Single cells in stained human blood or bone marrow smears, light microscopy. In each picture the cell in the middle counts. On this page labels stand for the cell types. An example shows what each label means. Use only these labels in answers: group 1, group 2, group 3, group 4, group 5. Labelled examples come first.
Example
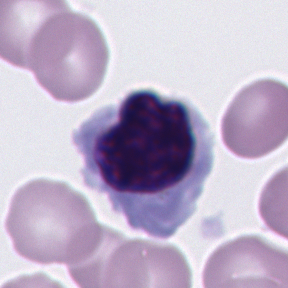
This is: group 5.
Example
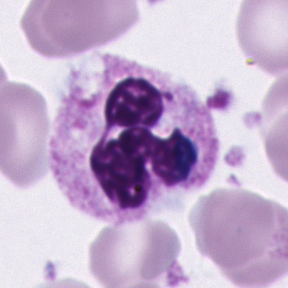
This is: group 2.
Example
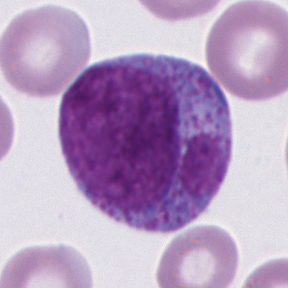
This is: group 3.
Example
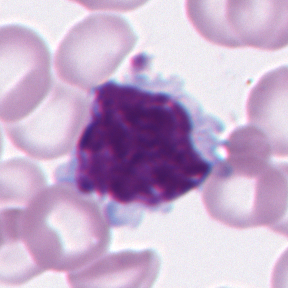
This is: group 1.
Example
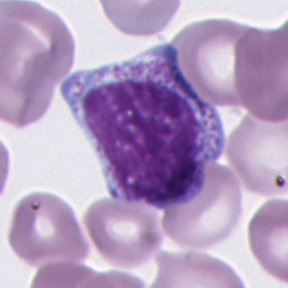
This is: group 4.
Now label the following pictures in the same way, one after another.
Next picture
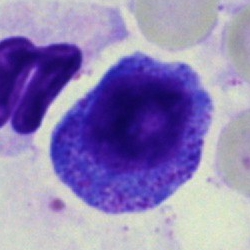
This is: group 3.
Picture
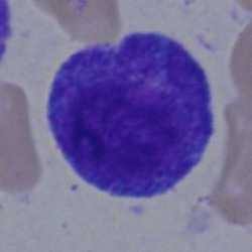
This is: group 3.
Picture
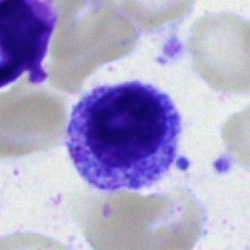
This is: group 4.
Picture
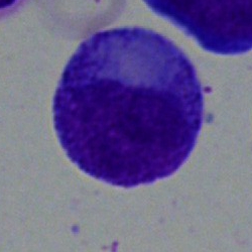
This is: group 3.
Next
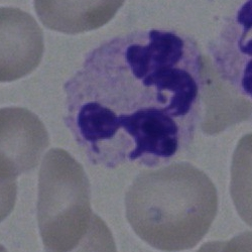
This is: group 2.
